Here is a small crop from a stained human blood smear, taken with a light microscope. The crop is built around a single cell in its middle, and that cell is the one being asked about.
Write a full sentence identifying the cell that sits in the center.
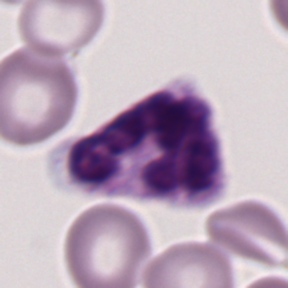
The central cell, amid any neighbouring cells, is a neutrophil.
